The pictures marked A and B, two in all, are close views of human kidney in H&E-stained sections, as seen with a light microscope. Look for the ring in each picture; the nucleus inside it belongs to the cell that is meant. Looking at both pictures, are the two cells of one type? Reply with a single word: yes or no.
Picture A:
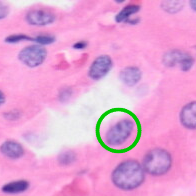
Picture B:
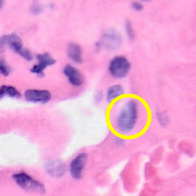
no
